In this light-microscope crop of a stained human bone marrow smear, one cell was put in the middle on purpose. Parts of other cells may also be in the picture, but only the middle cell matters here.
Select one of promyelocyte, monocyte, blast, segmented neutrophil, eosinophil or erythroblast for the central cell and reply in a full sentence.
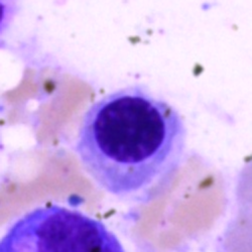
Classified as an erythroblast is the cell in the middle of this crop.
